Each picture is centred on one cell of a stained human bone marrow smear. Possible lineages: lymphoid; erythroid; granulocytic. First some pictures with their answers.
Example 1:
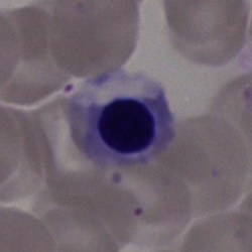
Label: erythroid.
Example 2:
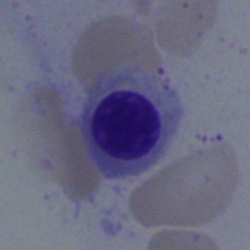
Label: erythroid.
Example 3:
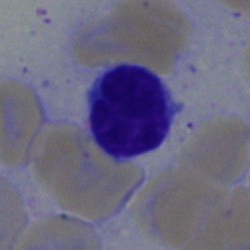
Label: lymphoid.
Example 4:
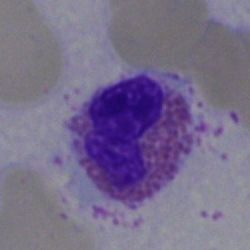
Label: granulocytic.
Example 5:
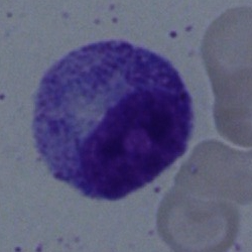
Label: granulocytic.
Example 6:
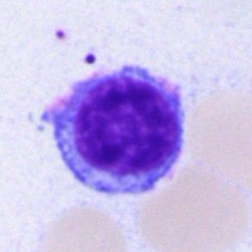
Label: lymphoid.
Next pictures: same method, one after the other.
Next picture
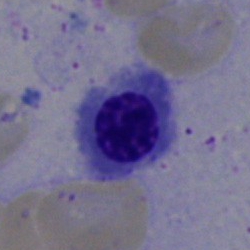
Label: erythroid.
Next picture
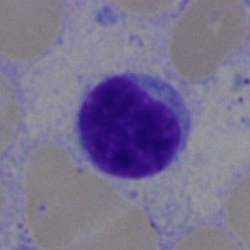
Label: lymphoid.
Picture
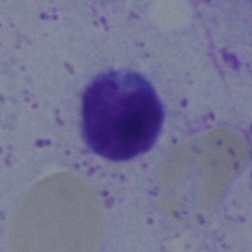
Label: lymphoid.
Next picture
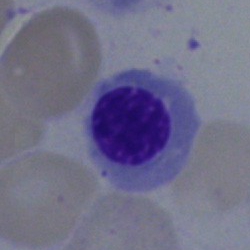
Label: erythroid.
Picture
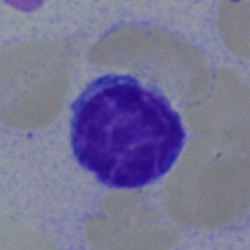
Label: lymphoid.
